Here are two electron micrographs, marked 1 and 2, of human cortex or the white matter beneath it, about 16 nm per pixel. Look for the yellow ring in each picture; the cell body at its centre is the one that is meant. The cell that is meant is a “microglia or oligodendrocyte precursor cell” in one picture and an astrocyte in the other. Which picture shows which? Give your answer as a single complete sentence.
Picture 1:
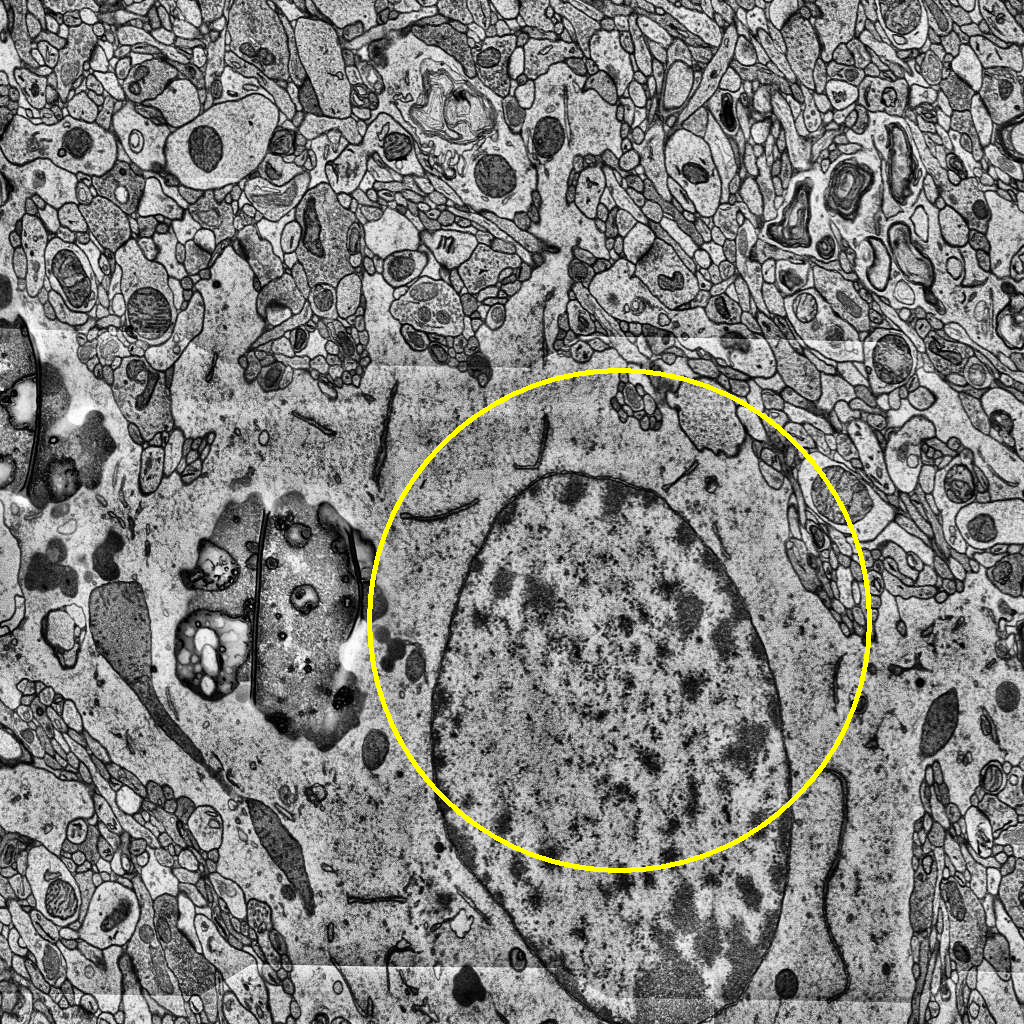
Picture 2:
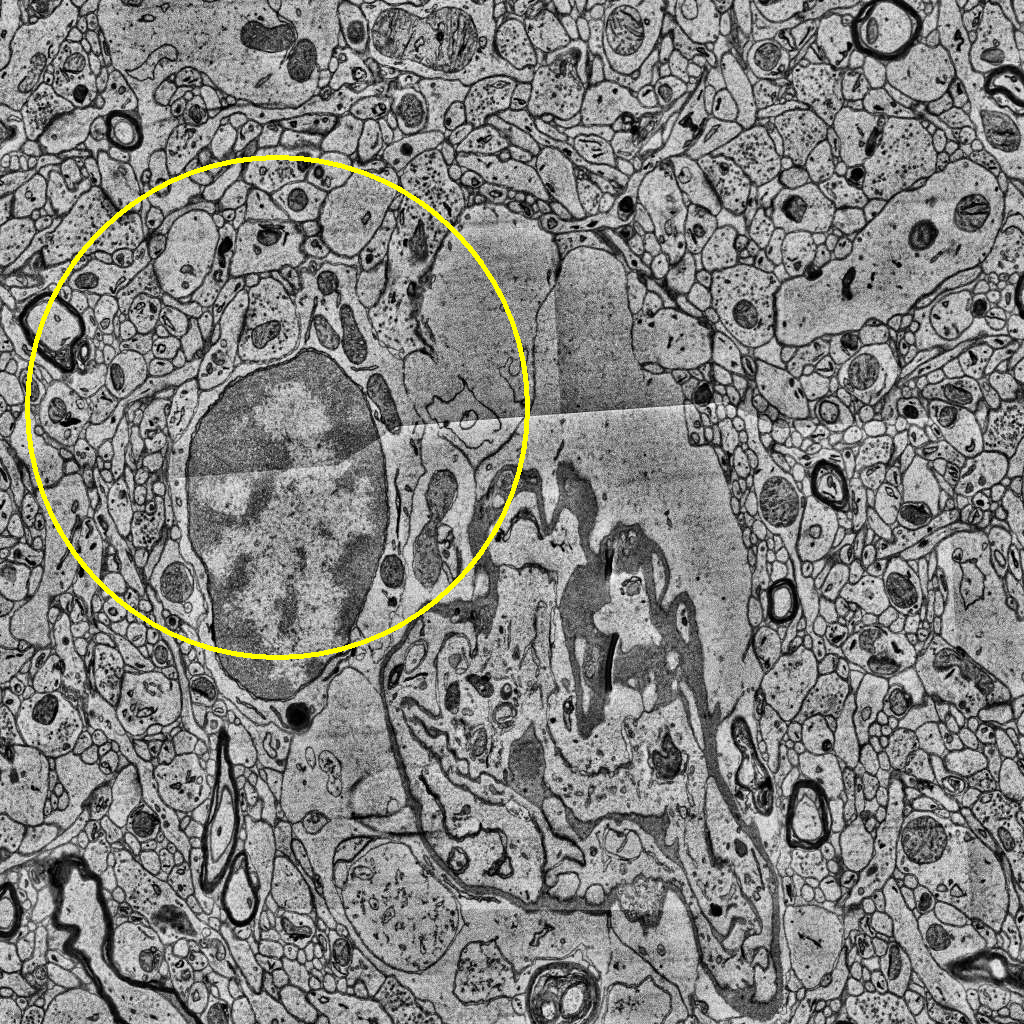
Picture 1 is of an astrocyte, and picture 2 is of a “microglia or oligodendrocyte precursor cell”.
